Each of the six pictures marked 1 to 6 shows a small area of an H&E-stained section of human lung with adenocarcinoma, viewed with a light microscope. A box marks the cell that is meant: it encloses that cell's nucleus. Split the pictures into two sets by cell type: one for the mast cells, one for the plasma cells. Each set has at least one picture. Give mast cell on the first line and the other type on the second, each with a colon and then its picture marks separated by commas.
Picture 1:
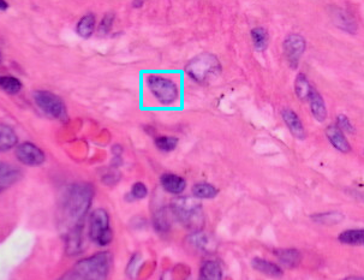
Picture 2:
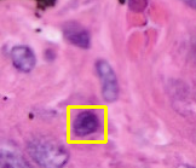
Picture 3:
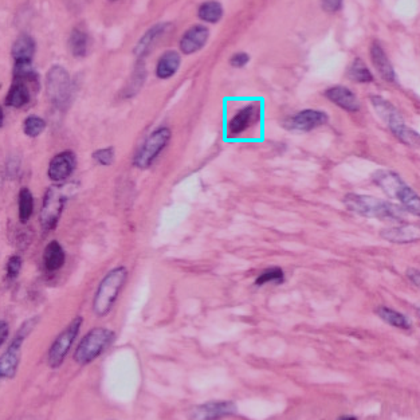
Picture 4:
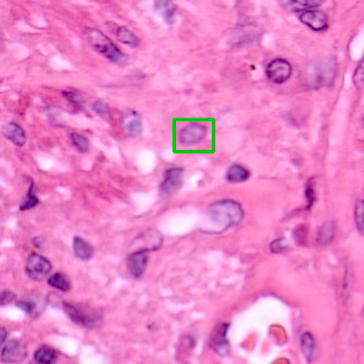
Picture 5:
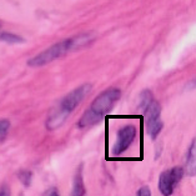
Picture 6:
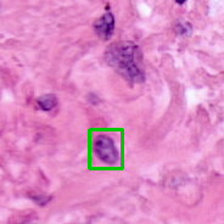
mast cell: 1, 4, 5, 6
plasma cell: 2, 3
